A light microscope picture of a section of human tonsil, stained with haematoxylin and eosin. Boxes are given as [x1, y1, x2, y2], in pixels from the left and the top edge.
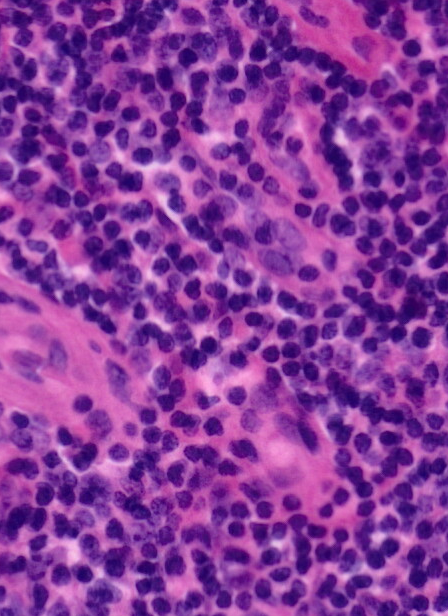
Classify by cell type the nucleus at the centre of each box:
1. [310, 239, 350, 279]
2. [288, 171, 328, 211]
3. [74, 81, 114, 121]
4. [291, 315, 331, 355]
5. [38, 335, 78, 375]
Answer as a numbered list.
1. endothelial cell
2. endothelial cell
3. small lymphocyte
4. small lymphocyte
5. endothelial cell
